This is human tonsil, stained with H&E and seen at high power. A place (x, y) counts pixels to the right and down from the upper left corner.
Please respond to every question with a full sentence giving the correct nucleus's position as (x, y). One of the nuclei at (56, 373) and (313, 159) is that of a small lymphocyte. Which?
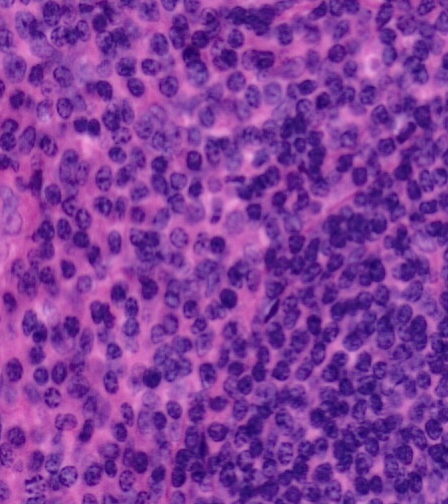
The nucleus at (313, 159) is part of a small lymphocyte, while the other is not.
